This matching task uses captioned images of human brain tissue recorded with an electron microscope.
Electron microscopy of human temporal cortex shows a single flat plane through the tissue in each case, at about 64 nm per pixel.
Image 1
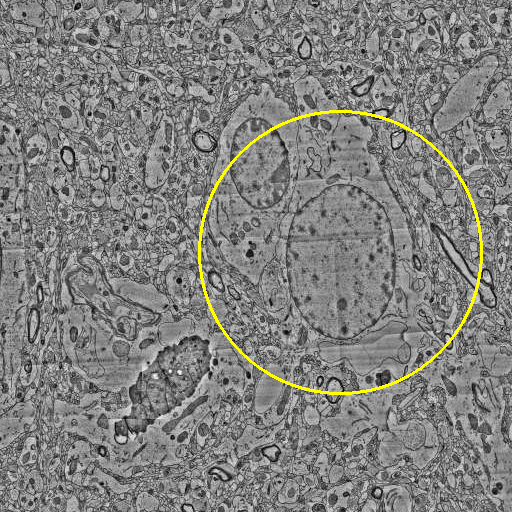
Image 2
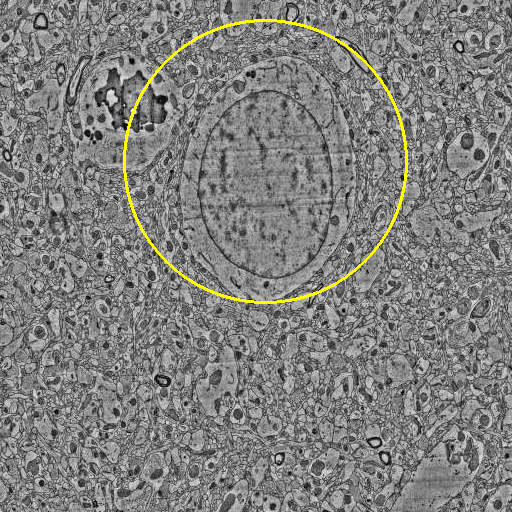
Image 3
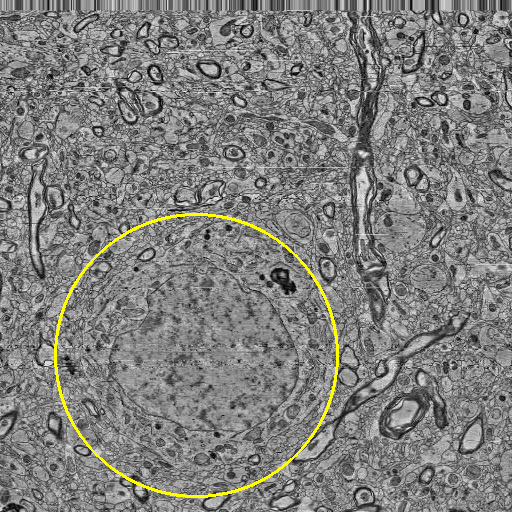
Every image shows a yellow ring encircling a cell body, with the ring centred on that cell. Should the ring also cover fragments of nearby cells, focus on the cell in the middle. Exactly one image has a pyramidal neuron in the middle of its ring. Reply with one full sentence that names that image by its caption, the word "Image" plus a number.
Image 2 shows the cell in question at the centre of its yellow ring.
